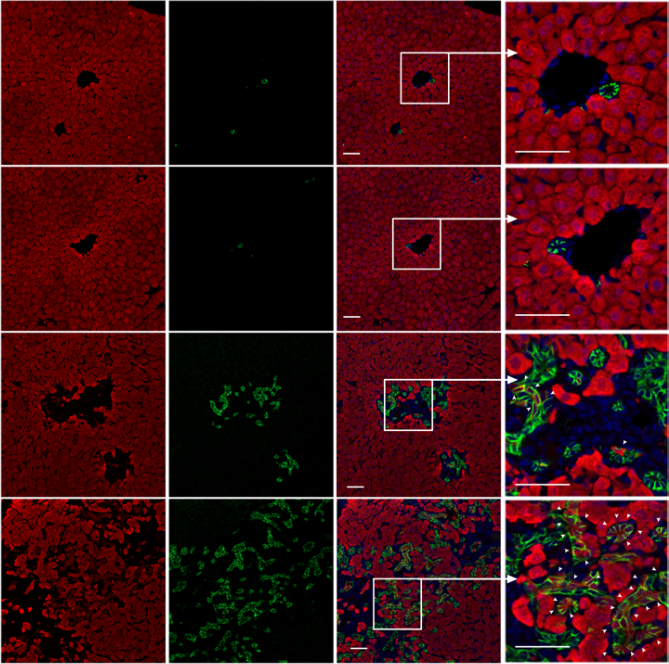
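These are liver sections in which the large polygonal cells fill the tissue in red, packed into cords around dark, empty vessel spaces. In the upper rows the red cells are evenly packed, and only a few small green-rimmed rings sit at the edge of a vessel. In the lower rows the tissue around the vessels is disrupted. There, many small green rings and cords with blue nuclei crowd among scattered red cells. In the enlarged views some of these small ring-forming cells also carry red, and white arrowheads point at them. The red cells near these crowded areas look irregular in size and loosely arranged, unlike the orderly cords elsewhere.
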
